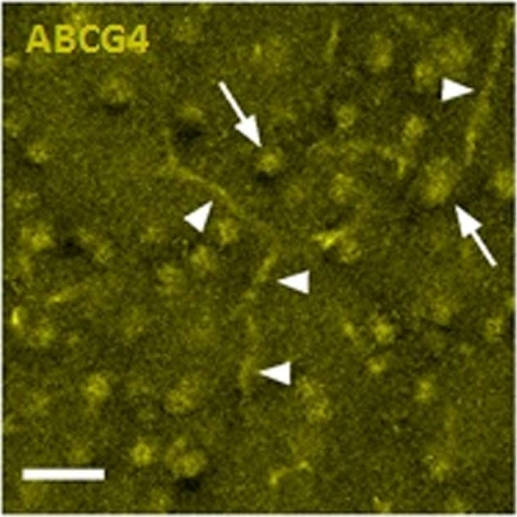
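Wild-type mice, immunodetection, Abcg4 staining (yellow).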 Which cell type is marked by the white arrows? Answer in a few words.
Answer: Parenchymal cells.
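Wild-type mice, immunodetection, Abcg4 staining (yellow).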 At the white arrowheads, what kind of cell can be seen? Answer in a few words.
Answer: Endothelial cells of the capillaries.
